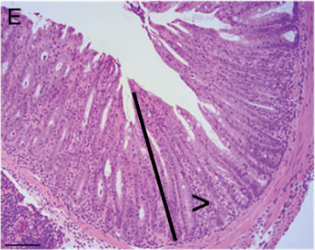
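Cross-section of intestinal wall with a mucosa of long, closely packed, tubular crypts running from the lumen toward a thin pink muscular layer at the outer edge. The crypts are elongated and lined by epithelium with crowded purple nuclei, and few pale goblet cells are evident. Between the crypts, the lamina propria holds many small, densely stained round nuclei, most dense toward the crypt bases. A black line spans the height of the mucosa.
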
